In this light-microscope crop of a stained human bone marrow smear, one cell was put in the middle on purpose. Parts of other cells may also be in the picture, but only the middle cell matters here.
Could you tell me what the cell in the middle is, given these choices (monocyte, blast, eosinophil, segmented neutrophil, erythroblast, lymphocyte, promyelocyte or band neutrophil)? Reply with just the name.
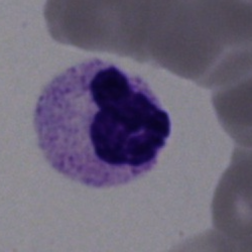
segmented neutrophil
